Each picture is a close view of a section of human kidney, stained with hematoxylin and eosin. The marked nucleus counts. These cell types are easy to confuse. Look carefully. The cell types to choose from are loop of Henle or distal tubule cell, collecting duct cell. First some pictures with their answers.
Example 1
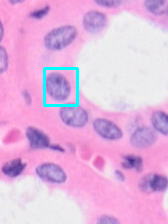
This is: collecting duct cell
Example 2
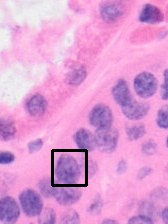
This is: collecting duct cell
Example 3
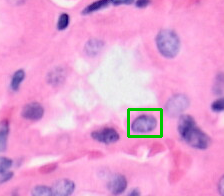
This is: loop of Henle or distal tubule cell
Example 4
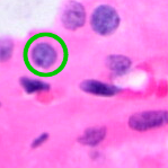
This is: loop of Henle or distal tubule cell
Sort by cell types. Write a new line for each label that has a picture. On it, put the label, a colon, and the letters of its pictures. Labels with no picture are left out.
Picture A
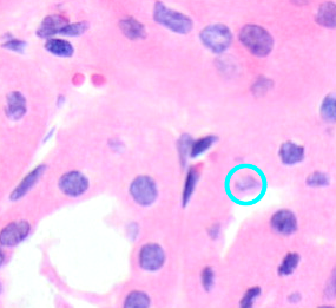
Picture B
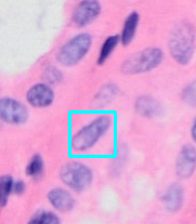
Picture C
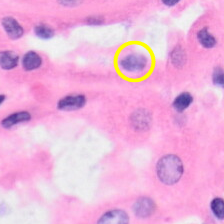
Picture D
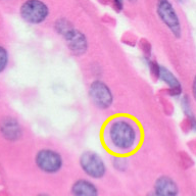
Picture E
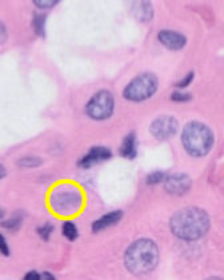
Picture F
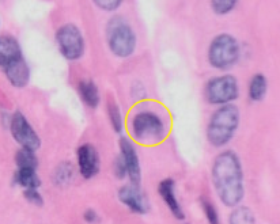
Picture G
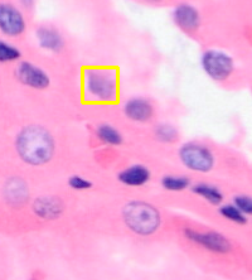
loop of Henle or distal tubule cell: A, C, D, G
collecting duct cell: B, E, F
